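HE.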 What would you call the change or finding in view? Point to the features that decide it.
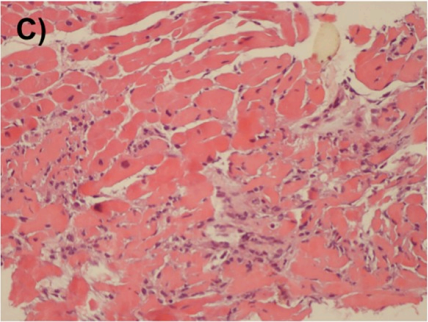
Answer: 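Moderate inflammatory infiltrates. Clusters of small dark nuclei lie in the widened spaces between pink muscle fibres. Much of the muscle between the clusters is free of these small cells.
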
